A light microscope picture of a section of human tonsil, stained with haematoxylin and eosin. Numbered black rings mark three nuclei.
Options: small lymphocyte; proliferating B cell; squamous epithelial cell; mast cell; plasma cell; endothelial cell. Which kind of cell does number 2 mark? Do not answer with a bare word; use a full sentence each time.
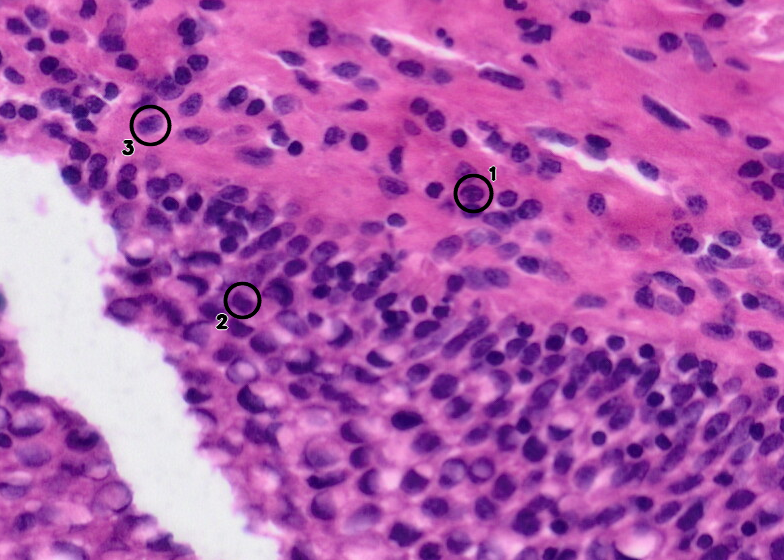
Of the numbered cells, the one labelled 2 is a squamous epithelial cell.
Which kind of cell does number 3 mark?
Cell 3 in the field of view is an endothelial cell.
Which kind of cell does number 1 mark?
Classified as a plasma cell is the cell with the number 1.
